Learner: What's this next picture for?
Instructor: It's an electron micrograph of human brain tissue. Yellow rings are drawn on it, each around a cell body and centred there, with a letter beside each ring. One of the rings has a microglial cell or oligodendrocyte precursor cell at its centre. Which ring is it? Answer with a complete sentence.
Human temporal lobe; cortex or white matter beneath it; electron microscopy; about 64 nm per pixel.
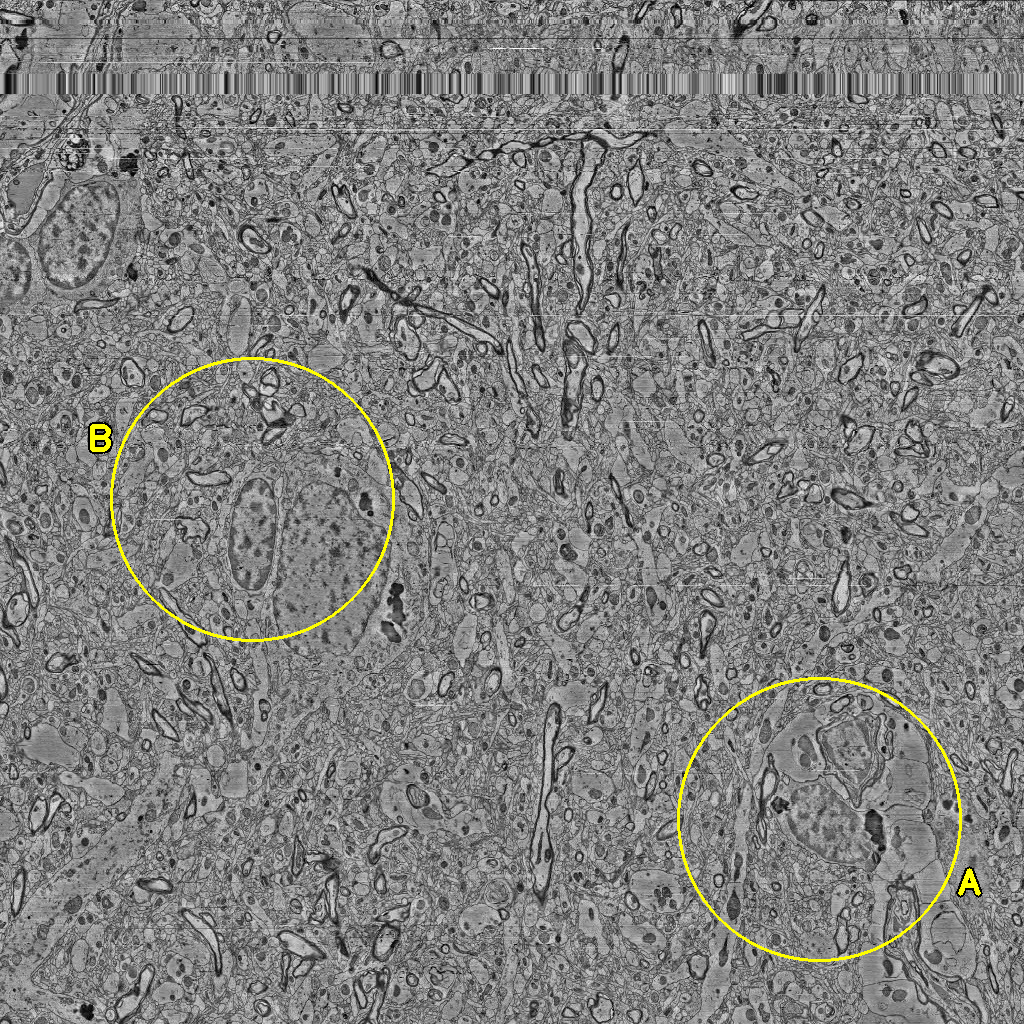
Ring B is centred on it.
